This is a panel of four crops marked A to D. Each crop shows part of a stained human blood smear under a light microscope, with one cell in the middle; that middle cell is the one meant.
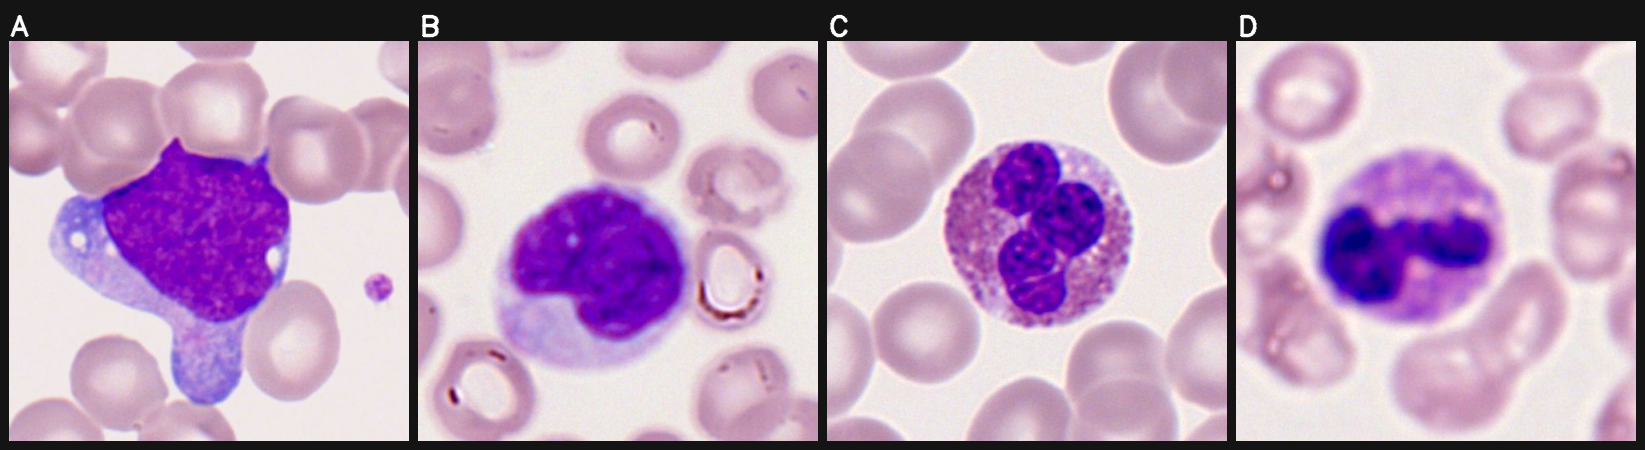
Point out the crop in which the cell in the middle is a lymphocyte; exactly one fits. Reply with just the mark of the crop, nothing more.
B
